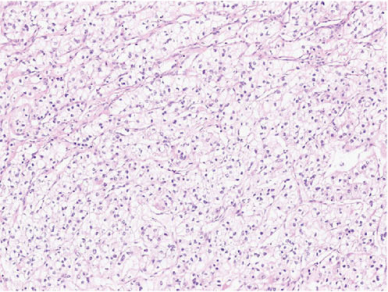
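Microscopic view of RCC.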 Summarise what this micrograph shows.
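Clear cell carcinoma of the kidney, seen as sheets of tumor cells with abundant clear, empty-looking cytoplasm and sharp cell borders. The nuclei are small, round and dark, sitting mostly in the middle of each cell or pushed to one side. The cells are gathered into nests and sheets divided by a fine, delicate network of thin pink strands carrying small blood vessels. No glomeruli or normal tubules are seen; the whole field is taken up by the uniform pale tumor cells, with the slightly pinker strands giving a lattice-like pattern across the field.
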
